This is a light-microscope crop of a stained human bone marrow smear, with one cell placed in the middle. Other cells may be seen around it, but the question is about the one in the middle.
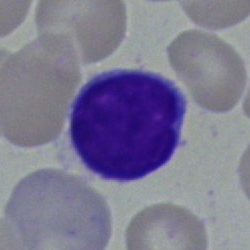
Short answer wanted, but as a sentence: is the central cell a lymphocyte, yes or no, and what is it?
Yes, the cell in the middle is recognised as a lymphocyte.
